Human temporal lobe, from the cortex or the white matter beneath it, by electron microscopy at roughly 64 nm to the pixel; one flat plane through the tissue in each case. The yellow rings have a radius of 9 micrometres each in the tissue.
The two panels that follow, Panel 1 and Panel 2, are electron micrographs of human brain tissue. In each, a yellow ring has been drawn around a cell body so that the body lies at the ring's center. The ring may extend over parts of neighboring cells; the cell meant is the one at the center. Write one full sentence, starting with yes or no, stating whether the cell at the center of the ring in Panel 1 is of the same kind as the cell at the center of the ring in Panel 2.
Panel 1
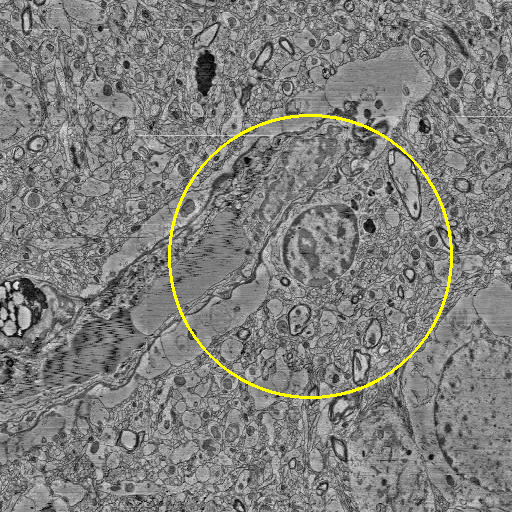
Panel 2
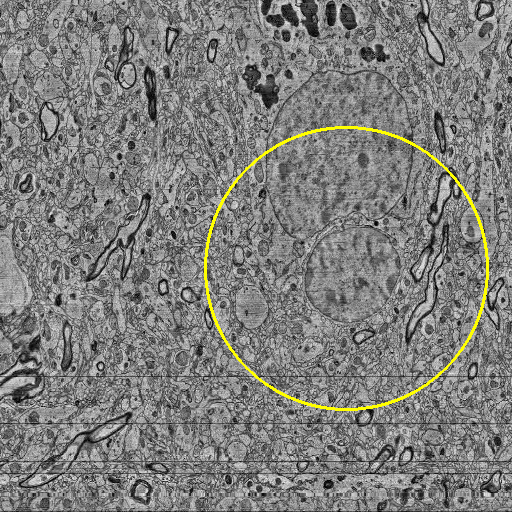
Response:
No, the cells in the two panels are of two kinds.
